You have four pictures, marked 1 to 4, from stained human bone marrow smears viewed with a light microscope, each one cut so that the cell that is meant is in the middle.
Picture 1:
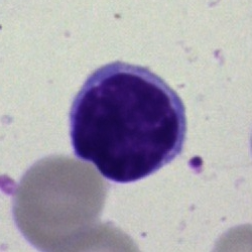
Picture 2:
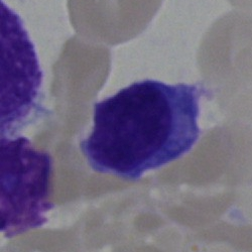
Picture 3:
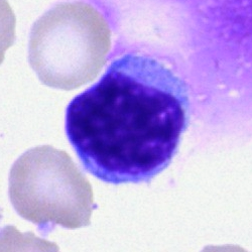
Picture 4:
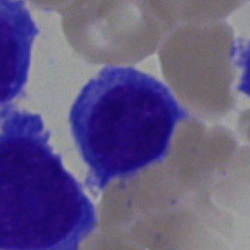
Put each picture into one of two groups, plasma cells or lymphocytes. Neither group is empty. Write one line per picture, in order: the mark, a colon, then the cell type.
1: lymphocyte
2: plasma cell
3: lymphocyte
4: plasma cell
